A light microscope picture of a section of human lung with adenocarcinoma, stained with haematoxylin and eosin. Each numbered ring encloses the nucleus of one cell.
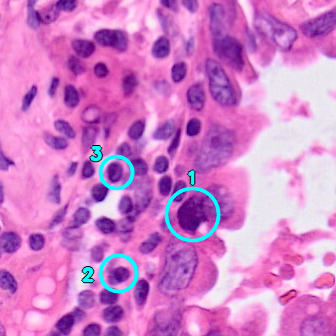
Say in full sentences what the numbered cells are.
Cell 1 is a carcinoma cell, cell 2 is a lymphocyte and cell 3 is a lymphocyte.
